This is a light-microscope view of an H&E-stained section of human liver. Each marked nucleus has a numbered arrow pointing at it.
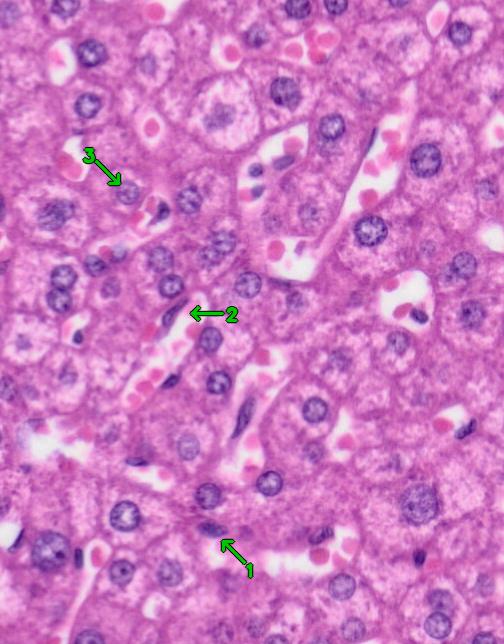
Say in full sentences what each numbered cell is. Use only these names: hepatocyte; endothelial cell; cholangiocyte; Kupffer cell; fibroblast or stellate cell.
Cell 1 is a fibroblast or stellate cell, cell 2 is a Kupffer cell and cell 3 is a hepatocyte.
